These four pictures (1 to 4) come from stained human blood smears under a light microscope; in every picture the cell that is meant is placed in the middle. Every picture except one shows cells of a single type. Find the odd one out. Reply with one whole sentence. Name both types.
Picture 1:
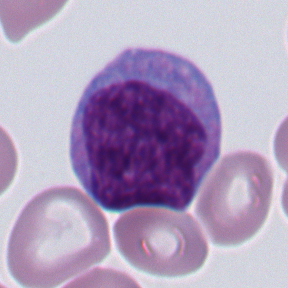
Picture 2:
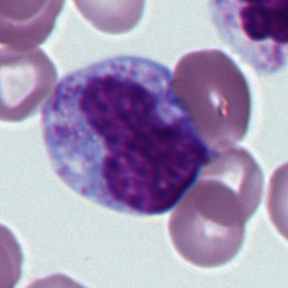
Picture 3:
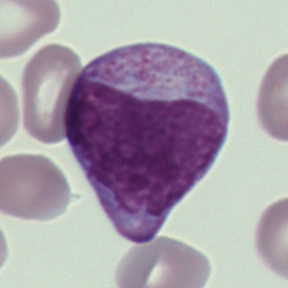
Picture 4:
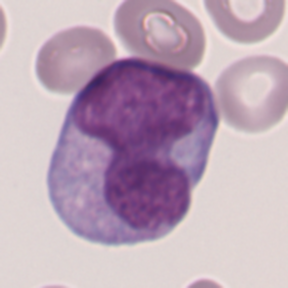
Unlike the rest, which show atypical promyelocytes, picture 2 shows a monocyte.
